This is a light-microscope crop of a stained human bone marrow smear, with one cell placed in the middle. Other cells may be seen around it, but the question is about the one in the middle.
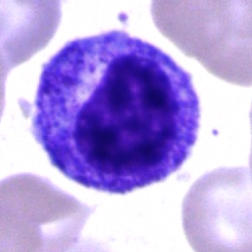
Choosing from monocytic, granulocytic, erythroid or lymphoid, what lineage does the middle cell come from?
granulocytic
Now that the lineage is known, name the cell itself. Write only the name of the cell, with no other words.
myelocyte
